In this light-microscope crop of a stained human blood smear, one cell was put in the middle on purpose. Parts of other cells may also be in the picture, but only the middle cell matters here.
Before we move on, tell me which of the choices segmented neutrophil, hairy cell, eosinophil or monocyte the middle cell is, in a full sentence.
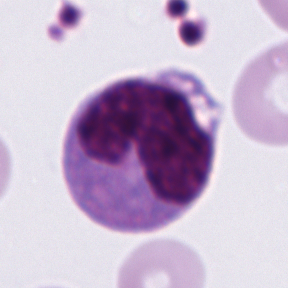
The centrally located cell in the crop is a monocyte.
